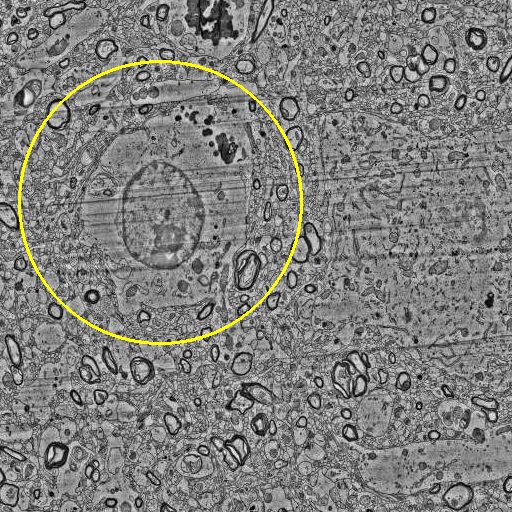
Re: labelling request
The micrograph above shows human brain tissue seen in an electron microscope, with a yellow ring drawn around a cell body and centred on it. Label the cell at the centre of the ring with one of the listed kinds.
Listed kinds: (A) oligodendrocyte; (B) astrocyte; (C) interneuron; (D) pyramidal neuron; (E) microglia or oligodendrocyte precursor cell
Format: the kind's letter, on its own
B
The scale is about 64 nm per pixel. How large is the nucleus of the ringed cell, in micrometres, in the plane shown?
The nucleus of the ringed cell is approximately 7 by 5 micrometres in this plane.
